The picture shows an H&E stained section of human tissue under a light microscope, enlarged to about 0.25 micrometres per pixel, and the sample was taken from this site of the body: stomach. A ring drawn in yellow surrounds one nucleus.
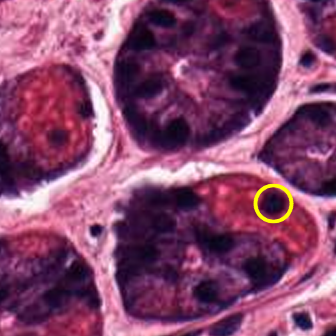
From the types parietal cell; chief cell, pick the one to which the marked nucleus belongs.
parietal cell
